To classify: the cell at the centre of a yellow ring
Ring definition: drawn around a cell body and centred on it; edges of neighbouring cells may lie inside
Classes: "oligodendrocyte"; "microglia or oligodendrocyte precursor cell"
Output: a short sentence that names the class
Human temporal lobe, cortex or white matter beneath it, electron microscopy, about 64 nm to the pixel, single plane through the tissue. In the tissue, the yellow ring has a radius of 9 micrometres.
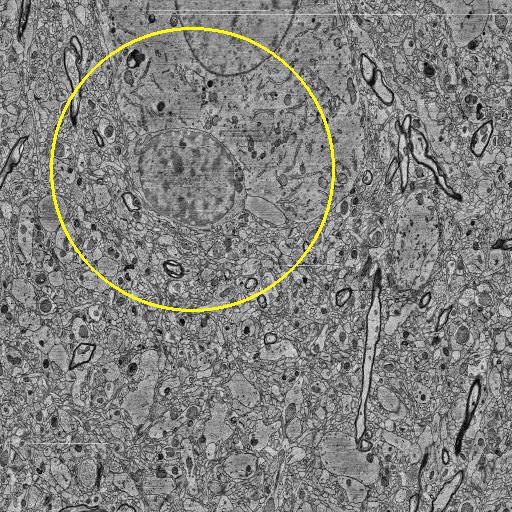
The ringed cell is an oligodendrocyte.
